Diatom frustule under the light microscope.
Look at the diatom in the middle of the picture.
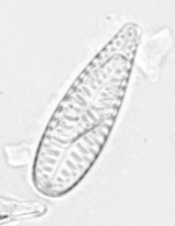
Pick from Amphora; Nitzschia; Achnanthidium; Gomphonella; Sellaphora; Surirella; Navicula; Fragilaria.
Gomphonella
